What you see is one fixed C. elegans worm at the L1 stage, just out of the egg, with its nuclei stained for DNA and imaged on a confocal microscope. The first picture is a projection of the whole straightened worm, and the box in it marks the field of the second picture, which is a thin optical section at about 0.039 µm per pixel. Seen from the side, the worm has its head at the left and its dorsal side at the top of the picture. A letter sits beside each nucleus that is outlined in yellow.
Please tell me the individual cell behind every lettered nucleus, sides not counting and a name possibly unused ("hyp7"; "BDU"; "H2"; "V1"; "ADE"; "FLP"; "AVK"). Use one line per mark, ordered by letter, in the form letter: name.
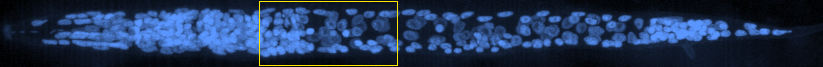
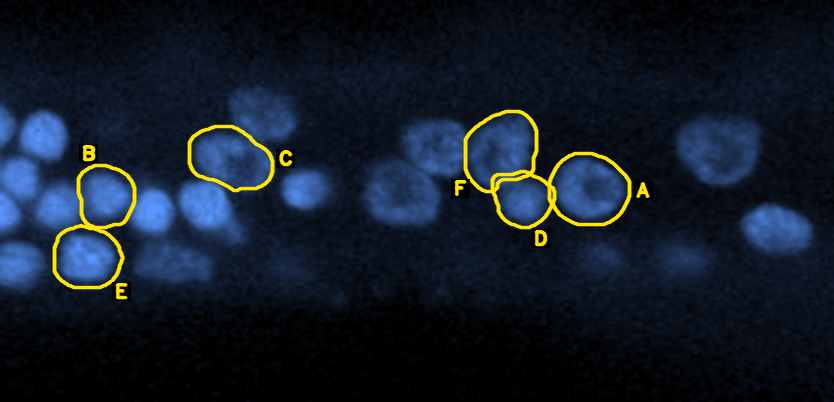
A: V1
B: ADE
C: H2
D: BDU
E: AVK
F: hyp7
